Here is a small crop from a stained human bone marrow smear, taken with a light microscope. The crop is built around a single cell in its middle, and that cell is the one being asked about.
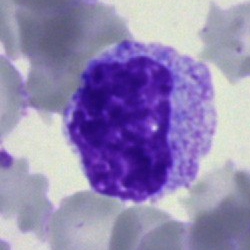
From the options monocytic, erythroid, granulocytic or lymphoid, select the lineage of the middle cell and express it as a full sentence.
That the central cell belongs to the granulocytic lineage is the finding here.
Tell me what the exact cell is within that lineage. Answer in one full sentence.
In this smear crop, the middle cell is a myelocyte.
